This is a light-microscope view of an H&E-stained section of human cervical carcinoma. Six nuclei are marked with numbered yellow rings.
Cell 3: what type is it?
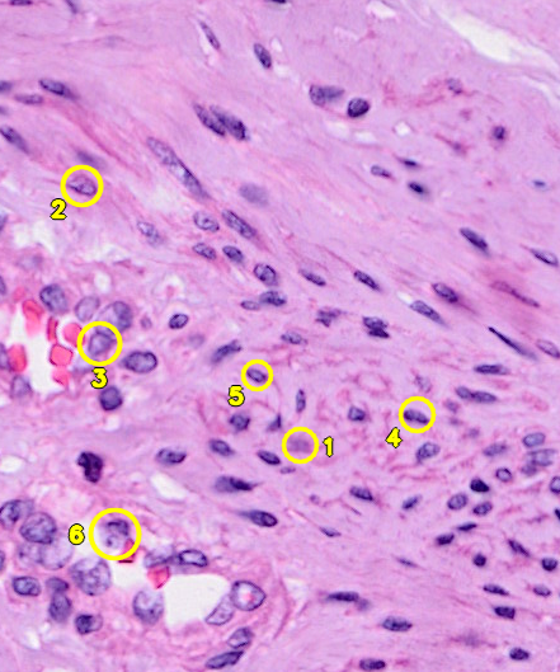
endothelial cell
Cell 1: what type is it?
smooth muscle cell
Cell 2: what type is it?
smooth muscle cell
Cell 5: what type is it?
smooth muscle cell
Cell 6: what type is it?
endothelial cell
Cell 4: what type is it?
smooth muscle cell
